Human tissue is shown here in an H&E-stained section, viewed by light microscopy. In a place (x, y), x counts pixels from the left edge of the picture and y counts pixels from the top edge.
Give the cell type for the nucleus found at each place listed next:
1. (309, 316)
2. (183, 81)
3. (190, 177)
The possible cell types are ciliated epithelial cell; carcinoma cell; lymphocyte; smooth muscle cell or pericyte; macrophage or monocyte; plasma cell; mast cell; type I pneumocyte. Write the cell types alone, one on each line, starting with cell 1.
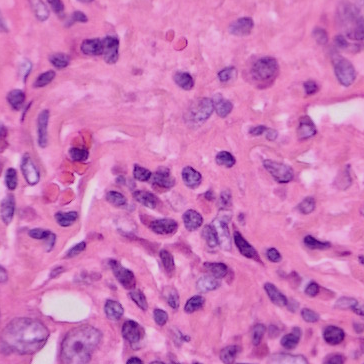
lymphocyte
lymphocyte
mast cell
